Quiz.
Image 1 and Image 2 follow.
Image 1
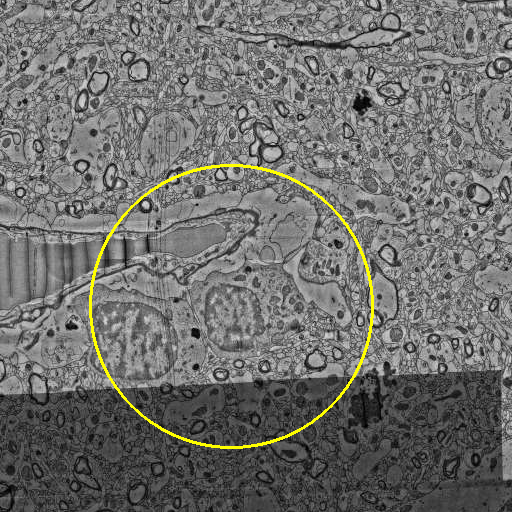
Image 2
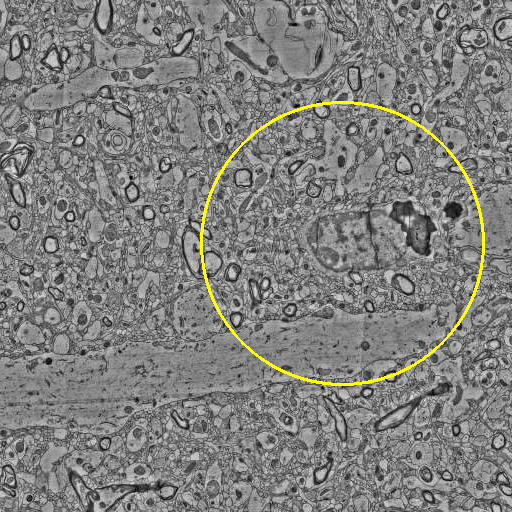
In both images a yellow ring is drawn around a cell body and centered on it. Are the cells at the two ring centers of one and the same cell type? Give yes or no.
yes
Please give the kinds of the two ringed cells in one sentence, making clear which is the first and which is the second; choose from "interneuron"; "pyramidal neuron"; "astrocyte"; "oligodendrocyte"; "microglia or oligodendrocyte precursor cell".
Each cell at the centre of a ring is an oligodendrocyte.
